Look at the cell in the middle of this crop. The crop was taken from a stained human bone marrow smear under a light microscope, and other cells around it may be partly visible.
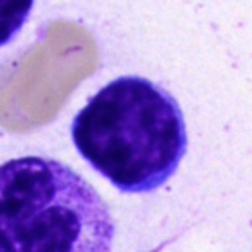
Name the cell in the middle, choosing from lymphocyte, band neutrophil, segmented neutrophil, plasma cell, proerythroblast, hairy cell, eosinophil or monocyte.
lymphocyte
